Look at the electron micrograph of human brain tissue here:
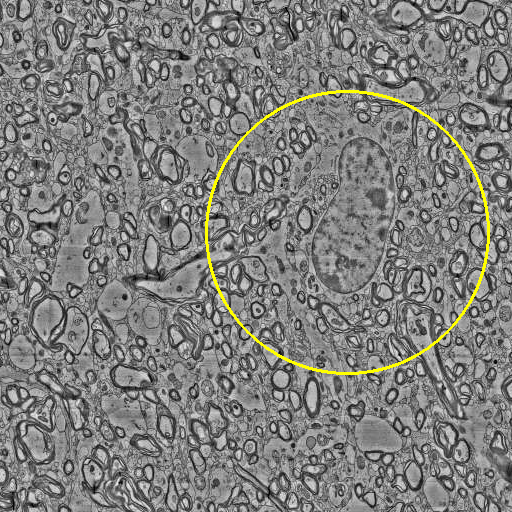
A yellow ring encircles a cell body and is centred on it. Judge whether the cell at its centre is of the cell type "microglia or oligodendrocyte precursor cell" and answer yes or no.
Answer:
yes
